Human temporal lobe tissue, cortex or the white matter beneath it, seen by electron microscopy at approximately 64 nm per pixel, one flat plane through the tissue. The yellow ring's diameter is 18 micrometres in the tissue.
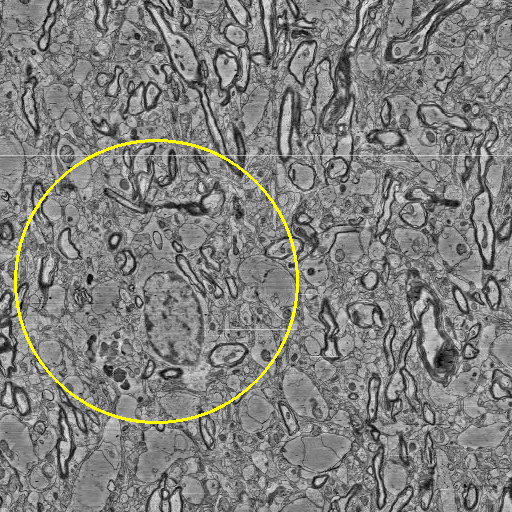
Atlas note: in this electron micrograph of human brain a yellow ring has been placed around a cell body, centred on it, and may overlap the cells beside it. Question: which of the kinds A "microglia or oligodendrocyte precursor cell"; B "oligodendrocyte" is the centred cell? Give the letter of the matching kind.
A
